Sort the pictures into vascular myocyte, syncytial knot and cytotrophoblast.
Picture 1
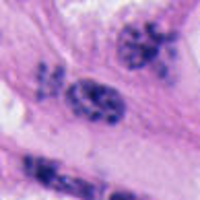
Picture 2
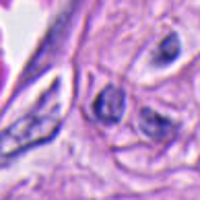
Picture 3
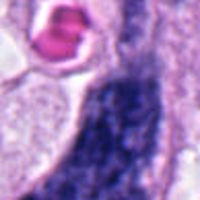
Cytotrophoblasts: 1
Vascular myocytes: 2
Syncytial knots: 3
